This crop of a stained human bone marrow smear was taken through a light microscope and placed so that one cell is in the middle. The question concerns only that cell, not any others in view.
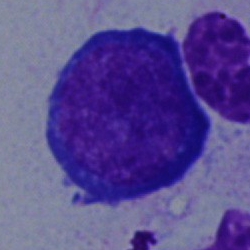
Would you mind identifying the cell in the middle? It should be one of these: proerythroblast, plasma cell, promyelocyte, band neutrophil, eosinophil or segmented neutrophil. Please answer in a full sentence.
The centrally located cell in the crop is a proerythroblast.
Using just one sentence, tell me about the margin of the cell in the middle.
Its outline is ragged or drawn out into projections, not smooth.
